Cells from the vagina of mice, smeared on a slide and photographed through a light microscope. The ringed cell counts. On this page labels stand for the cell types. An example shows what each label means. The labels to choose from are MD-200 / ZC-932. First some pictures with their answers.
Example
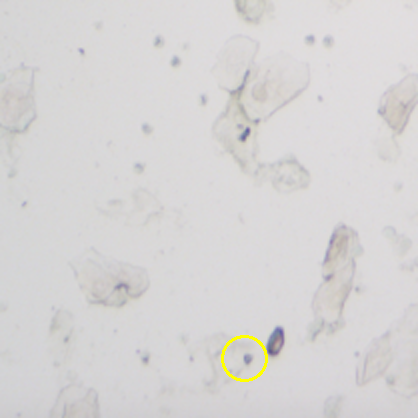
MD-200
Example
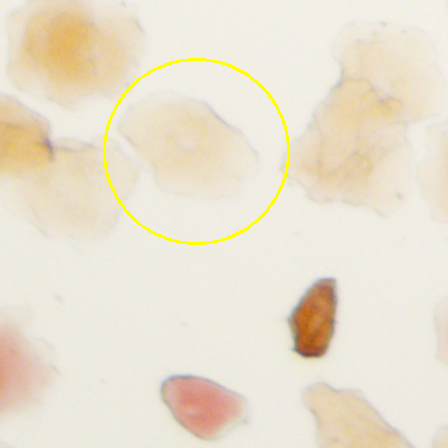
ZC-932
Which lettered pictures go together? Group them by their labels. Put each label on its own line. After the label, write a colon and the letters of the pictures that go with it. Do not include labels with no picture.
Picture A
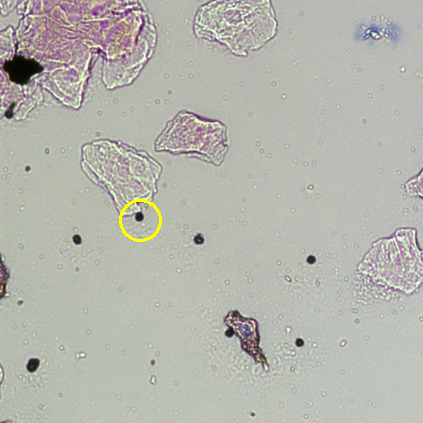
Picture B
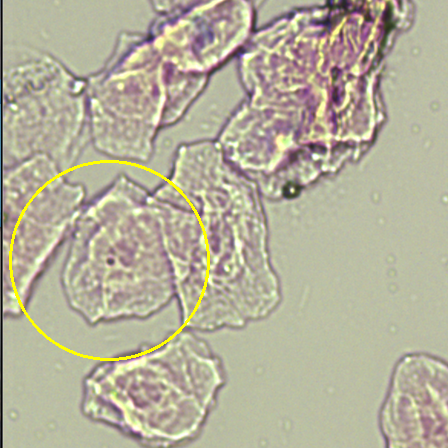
MD-200: A
ZC-932: B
